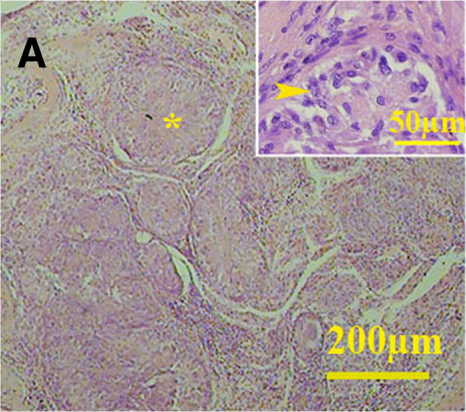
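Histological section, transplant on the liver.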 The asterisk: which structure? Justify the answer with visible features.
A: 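Seminiferous tubules. The asterisk lies in a rounded, cell-filled profile. The profile is bounded by a thin pale rim and separated from neighbouring similar profiles by connective tissue strands.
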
